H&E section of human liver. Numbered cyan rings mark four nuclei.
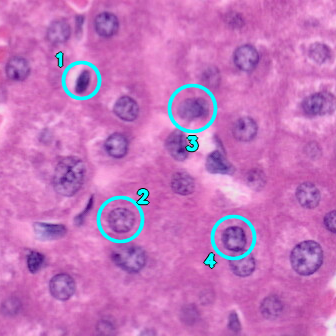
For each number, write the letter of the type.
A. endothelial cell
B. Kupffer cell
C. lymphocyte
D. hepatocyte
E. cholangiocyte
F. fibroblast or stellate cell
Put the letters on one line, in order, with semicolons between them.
C; D; A; D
